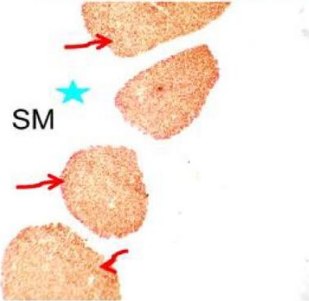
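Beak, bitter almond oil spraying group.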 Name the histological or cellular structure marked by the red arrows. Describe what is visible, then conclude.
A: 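Several rounded, oval bundles stain uniformly brown. The bundles are finely granular and separated by unstained tissue.
Hence: nerve bundles.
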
